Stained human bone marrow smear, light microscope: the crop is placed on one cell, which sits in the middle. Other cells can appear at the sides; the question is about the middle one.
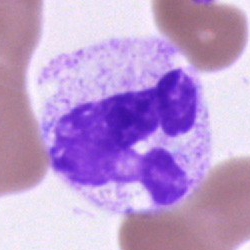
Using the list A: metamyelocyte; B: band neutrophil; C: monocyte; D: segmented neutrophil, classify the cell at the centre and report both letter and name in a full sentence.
Option D is correct, naming the cell in the middle as a segmented neutrophil.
